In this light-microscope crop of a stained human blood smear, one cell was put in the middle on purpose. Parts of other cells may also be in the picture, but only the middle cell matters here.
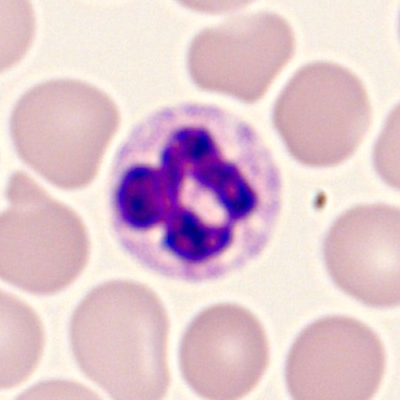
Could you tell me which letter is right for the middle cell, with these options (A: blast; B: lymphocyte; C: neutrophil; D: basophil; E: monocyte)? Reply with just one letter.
C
